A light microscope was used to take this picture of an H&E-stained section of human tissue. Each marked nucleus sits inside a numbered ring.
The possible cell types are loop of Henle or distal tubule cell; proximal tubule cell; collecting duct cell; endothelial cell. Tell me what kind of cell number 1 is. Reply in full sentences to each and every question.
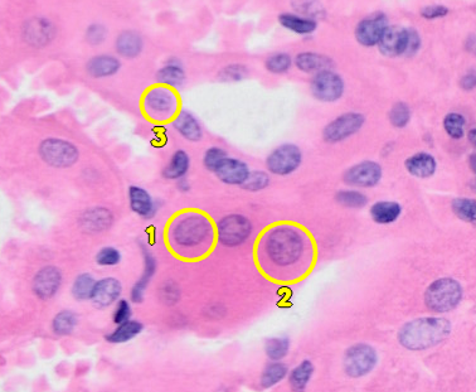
The cell marked with the number 1 is a proximal tubule cell.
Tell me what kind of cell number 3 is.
The one labeled 3 is a collecting duct cell, to put it simply.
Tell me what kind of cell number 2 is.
The numeral 2 marks a proximal tubule cell in this section.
